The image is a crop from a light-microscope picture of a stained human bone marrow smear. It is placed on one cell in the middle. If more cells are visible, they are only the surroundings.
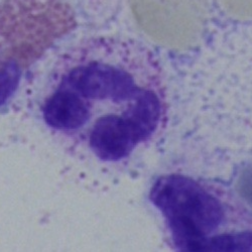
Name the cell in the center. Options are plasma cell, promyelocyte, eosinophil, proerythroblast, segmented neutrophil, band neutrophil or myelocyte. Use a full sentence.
By classification, the middle cell of this crop is a segmented neutrophil.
